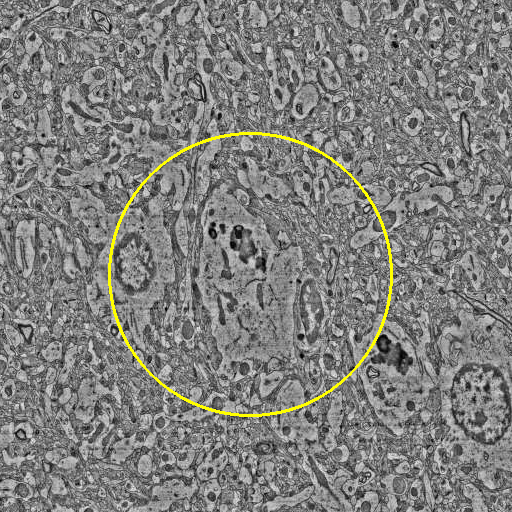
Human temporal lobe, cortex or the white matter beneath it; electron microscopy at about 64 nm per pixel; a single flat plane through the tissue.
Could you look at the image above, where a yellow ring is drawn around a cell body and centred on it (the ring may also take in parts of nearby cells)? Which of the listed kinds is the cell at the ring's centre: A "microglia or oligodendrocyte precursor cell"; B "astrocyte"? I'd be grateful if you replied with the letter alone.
B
